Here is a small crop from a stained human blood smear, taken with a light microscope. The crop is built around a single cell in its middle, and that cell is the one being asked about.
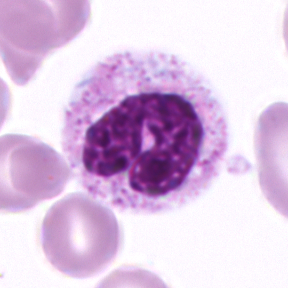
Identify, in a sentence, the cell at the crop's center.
For this crop, the cell in the middle is a band neutrophil.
